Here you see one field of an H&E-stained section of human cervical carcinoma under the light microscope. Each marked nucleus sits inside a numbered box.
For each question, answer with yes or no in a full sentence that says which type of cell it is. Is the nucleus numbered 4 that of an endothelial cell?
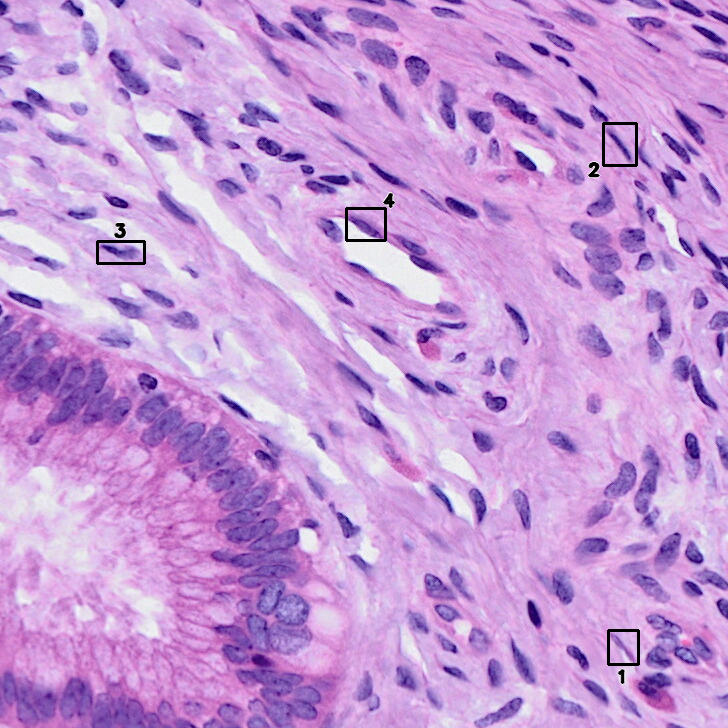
Yes, for number 4, the cell is an endothelial cell.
